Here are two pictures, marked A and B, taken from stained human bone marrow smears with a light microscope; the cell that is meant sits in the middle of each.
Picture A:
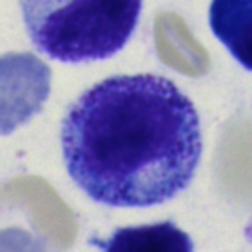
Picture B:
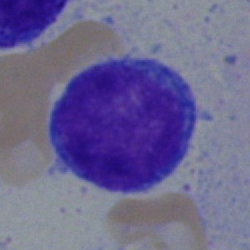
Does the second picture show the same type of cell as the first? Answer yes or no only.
no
